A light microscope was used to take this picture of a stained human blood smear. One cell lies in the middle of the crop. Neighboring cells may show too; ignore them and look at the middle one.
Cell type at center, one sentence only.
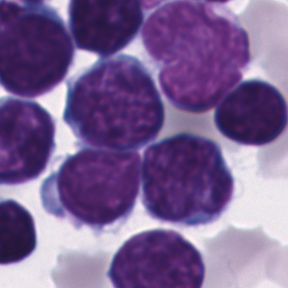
Standing at the centre of this crop is a myeloblast.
